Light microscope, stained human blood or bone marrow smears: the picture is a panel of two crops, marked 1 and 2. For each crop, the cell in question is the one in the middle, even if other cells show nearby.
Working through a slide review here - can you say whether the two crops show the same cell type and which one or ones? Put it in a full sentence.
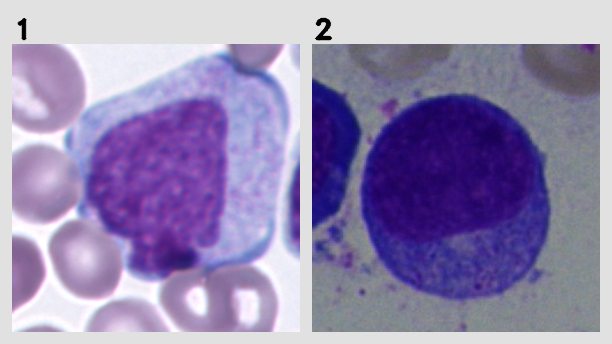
Yes, both crops are centred on cells that are promyelocytes.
